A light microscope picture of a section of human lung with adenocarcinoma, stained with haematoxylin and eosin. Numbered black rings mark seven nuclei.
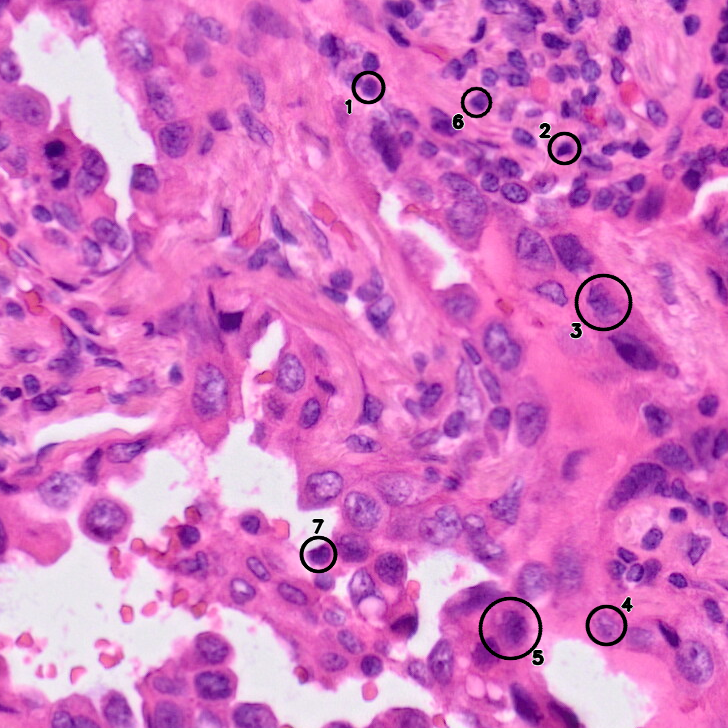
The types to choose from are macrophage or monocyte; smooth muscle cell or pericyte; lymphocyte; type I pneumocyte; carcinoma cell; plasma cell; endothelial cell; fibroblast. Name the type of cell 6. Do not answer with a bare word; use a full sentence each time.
The cell that goes by number 6 is a lymphocyte.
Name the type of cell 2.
The mark numbered 2 indicates the nucleus of a lymphocyte.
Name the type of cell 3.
The one numbered 3 among the marked cells is a carcinoma cell.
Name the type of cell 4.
The cell numbered 4 represents a carcinoma cell.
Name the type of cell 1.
The nucleus with number 1 is that of a lymphocyte.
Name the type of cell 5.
The nucleus labelled 5 belongs to a carcinoma cell.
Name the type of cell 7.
The nucleus labeled 7 belongs to a lymphocyte.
